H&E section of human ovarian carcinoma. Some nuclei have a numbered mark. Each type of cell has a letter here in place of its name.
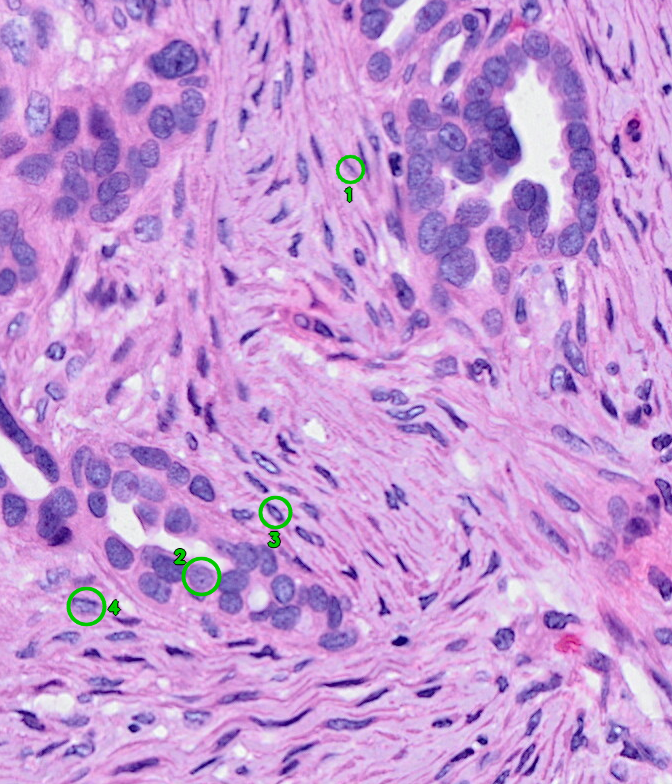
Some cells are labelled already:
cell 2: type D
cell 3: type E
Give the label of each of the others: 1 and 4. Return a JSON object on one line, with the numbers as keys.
{"1": "type E", "4": "type E"}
